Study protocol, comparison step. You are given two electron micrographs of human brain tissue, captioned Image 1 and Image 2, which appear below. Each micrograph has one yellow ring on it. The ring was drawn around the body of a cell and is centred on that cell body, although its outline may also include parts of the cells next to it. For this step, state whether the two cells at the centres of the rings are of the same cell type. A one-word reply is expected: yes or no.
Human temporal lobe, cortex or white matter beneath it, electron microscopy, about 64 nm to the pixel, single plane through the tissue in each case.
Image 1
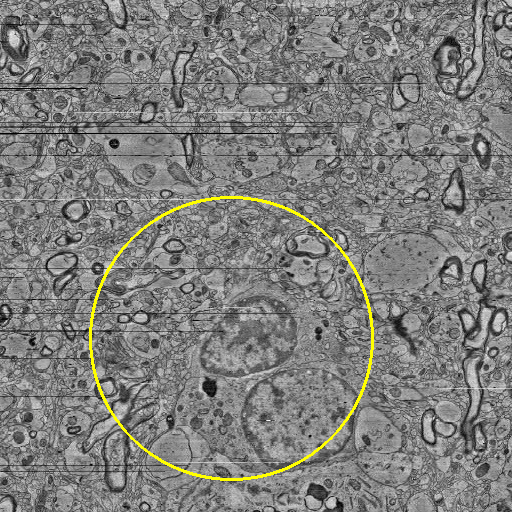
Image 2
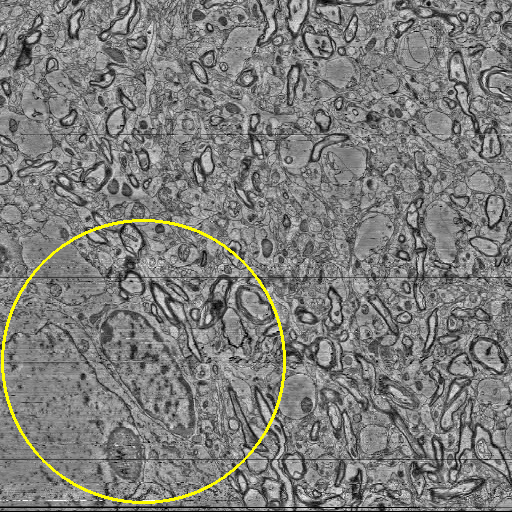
no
